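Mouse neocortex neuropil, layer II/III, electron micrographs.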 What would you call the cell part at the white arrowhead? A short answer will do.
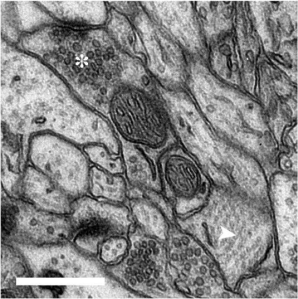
Aligned microtubules.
